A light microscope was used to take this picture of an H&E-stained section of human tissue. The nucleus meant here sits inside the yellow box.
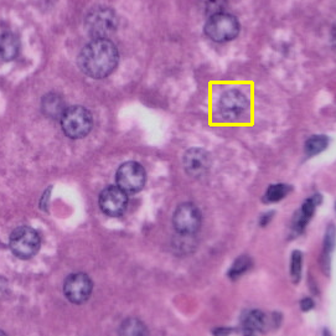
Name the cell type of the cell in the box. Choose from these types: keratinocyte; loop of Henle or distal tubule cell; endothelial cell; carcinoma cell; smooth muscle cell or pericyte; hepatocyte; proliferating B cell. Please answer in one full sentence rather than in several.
In this field of tissue, the cell in the box is a hepatocyte.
